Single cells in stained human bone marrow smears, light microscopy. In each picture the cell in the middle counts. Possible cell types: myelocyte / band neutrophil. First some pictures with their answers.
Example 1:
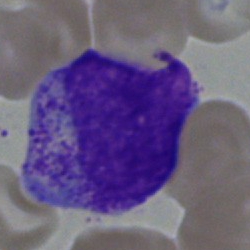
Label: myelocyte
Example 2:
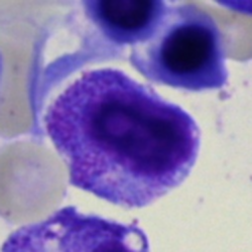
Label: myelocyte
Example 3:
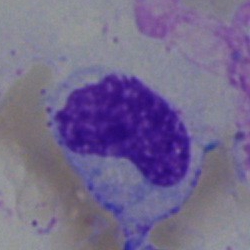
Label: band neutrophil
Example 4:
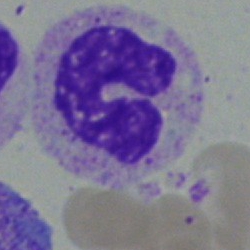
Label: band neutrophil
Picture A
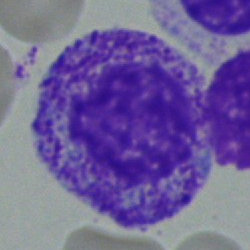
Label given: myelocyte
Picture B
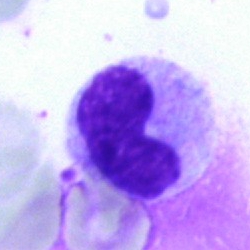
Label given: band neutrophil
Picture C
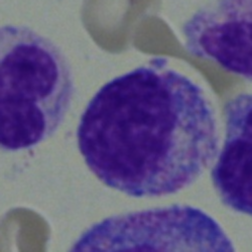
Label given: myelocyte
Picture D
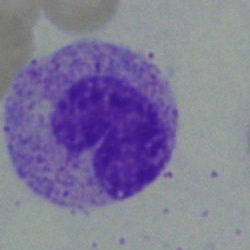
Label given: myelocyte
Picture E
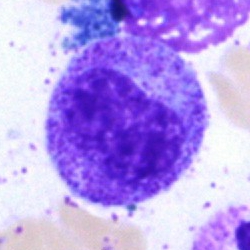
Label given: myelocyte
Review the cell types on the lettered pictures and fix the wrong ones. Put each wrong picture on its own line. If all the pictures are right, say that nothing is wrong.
D is labelled myelocyte; correct label: band neutrophil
